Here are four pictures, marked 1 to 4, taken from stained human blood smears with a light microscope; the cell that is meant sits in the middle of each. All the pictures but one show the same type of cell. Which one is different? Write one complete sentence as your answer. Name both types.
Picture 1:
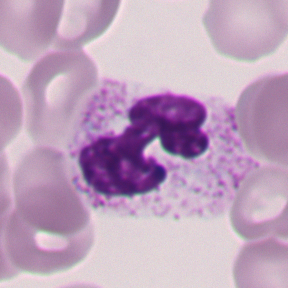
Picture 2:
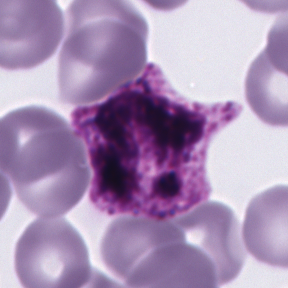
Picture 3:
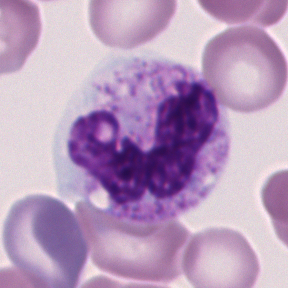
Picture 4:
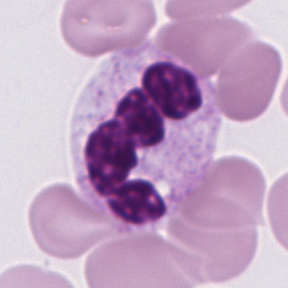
All pictures except 2 show segmented neutrophils; picture 2 shows a basophil.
